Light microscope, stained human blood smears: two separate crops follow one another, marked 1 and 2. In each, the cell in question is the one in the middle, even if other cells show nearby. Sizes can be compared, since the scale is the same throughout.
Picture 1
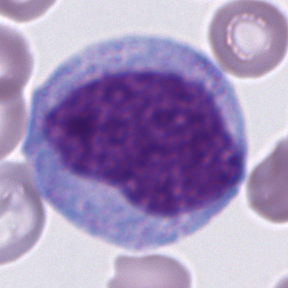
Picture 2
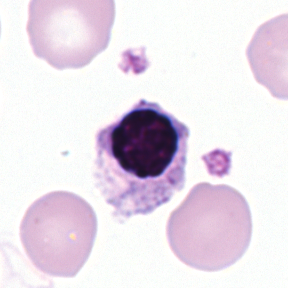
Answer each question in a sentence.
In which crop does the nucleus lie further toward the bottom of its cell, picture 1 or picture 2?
In picture 1 the nucleus is shifted more toward the bottom.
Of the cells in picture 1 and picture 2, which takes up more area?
It is the cell in picture 1, about 4 times as large in area as the cell in picture 2.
